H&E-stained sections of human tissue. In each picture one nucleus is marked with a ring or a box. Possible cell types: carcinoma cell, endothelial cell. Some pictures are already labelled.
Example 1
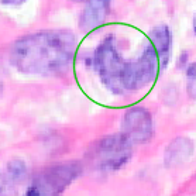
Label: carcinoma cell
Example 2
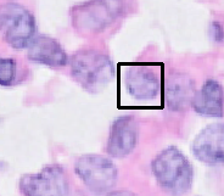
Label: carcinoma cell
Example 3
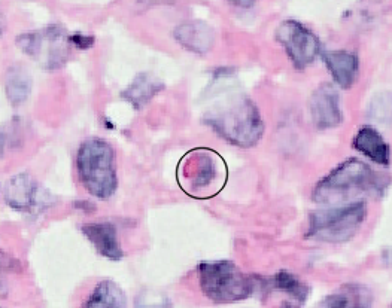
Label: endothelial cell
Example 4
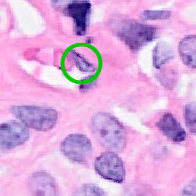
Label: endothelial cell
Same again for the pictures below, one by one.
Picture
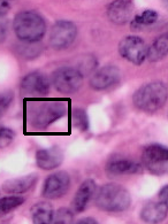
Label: carcinoma cell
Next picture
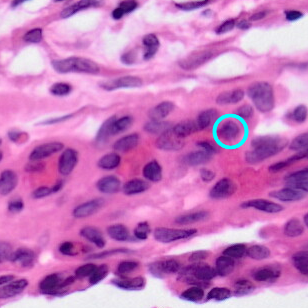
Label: endothelial cell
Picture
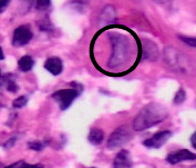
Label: endothelial cell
